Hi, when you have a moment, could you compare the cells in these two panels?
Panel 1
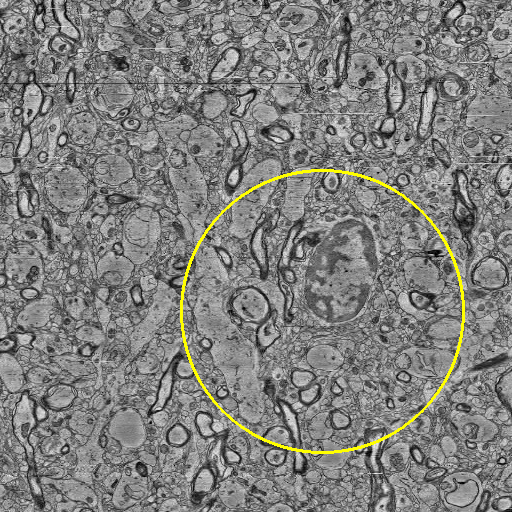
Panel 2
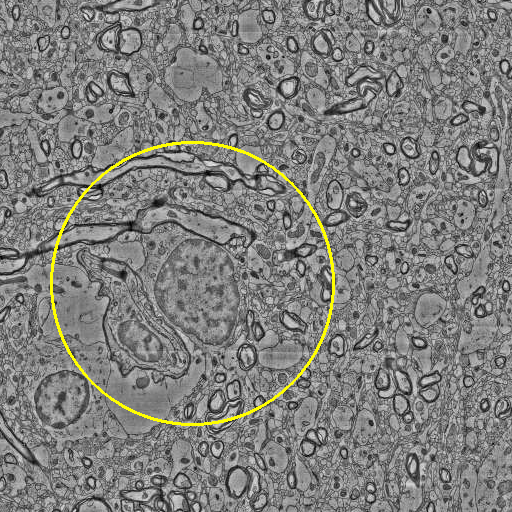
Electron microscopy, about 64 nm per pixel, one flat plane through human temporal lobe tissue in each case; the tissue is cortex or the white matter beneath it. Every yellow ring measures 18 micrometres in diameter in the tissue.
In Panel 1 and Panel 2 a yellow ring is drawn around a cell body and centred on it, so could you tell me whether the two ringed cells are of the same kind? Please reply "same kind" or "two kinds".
two kinds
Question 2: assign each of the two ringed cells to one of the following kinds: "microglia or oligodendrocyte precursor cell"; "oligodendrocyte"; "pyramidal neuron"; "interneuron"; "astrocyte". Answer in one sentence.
The two cells are a microglial cell or oligodendrocyte precursor cell in the first picture and an oligodendrocyte in the second.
